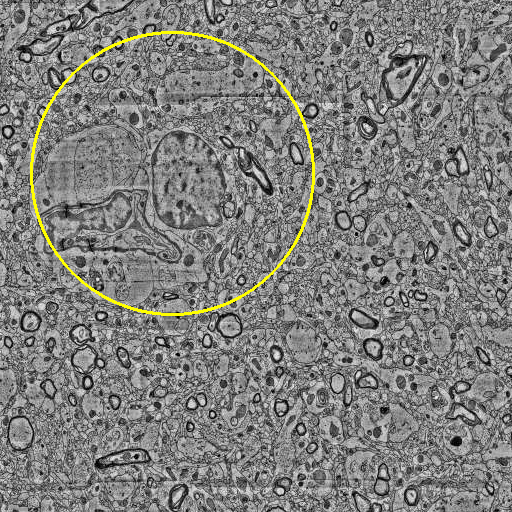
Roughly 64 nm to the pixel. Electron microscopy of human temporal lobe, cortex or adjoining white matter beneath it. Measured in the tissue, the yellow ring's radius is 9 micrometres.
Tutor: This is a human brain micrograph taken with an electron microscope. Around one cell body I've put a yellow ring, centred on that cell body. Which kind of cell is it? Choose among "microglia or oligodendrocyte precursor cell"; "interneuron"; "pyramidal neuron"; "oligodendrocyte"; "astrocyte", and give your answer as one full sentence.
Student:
Going by your list, the cell centred in the yellow ring is a microglial cell or oligodendrocyte precursor cell.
